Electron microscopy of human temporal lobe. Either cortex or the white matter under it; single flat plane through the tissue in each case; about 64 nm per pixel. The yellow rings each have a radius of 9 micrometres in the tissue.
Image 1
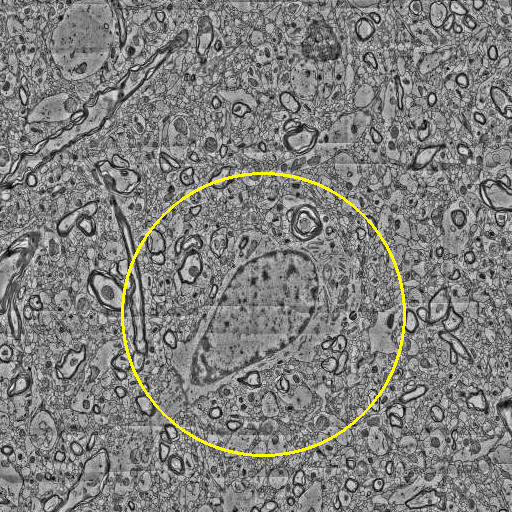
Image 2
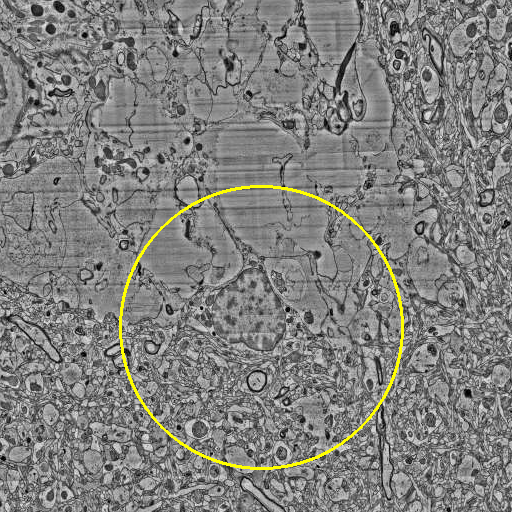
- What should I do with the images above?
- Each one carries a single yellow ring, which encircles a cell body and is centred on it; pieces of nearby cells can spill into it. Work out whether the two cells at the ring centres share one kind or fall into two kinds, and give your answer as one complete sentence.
The ring-centre cells of Image 1 and Image 2 share one kind.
